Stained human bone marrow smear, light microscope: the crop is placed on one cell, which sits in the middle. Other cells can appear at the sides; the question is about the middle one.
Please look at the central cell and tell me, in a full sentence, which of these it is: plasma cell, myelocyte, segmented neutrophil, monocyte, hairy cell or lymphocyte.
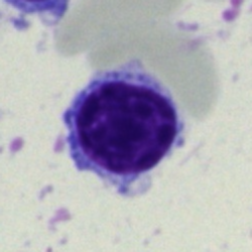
The cell at the heart of this crop is a lymphocyte.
